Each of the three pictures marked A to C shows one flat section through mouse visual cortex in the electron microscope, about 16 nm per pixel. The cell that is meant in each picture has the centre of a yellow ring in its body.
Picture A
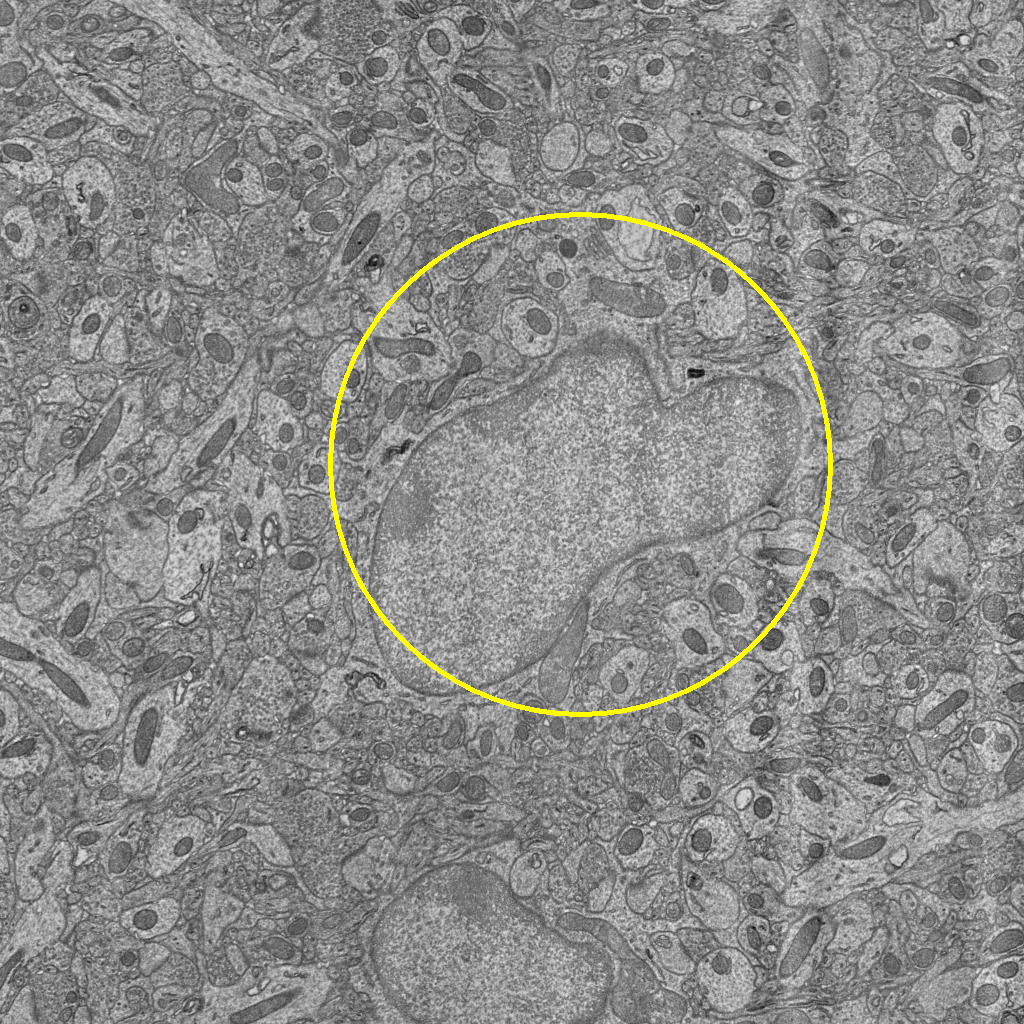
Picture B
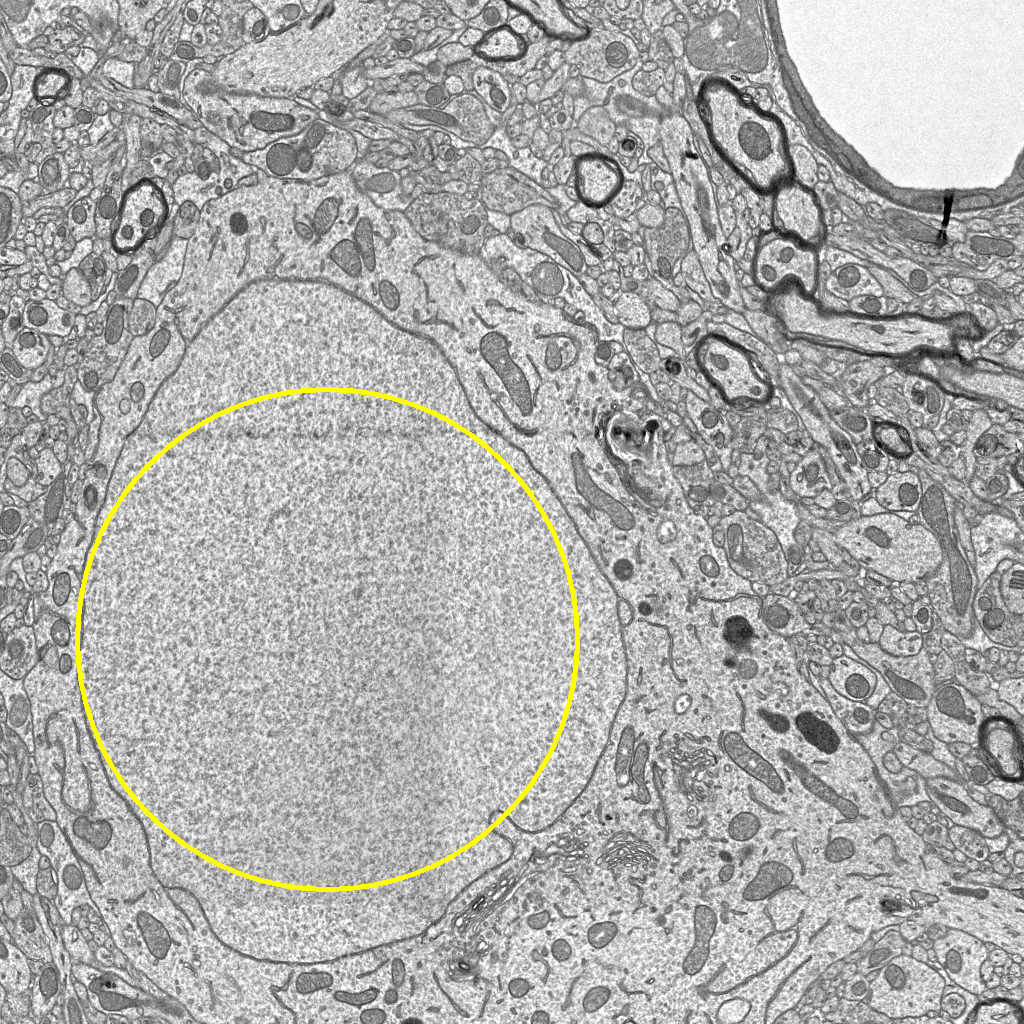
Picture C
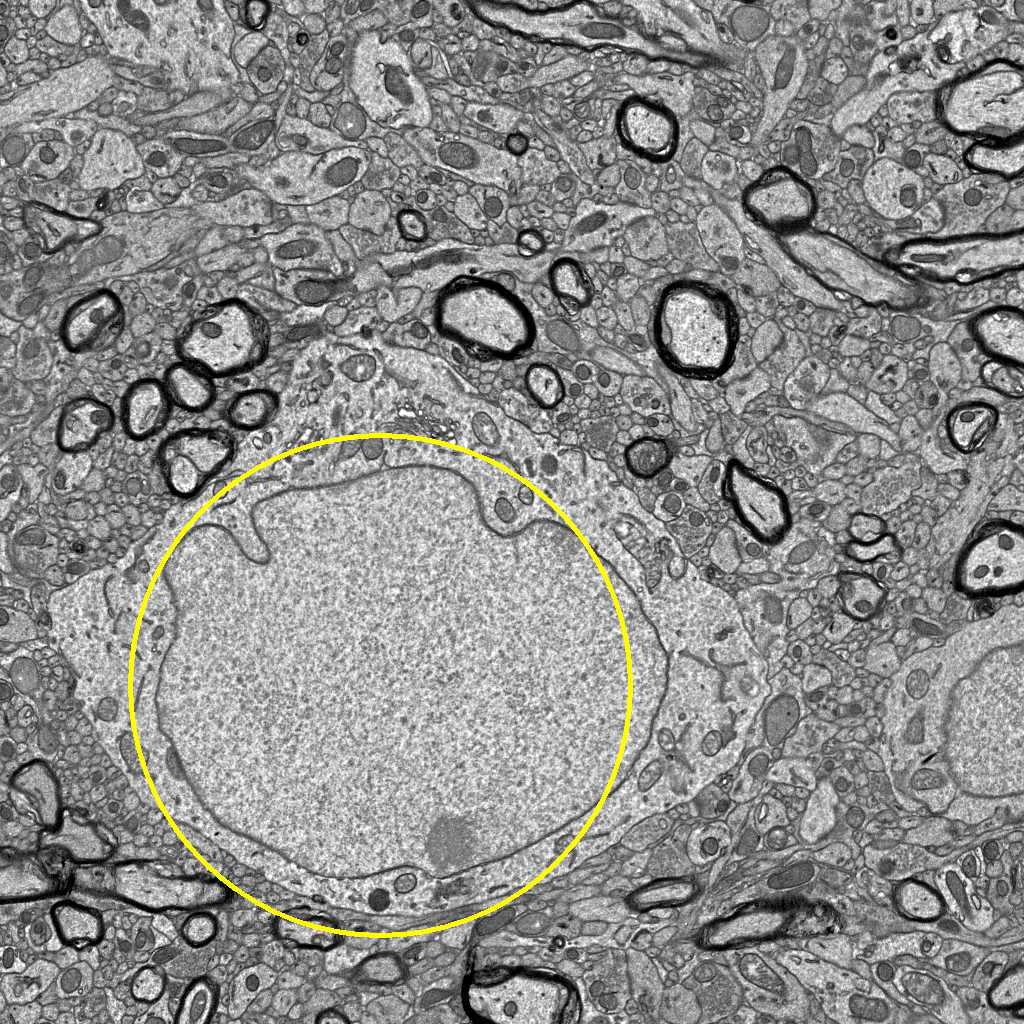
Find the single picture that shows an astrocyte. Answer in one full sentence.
Picture A is the one that shows the astrocyte.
